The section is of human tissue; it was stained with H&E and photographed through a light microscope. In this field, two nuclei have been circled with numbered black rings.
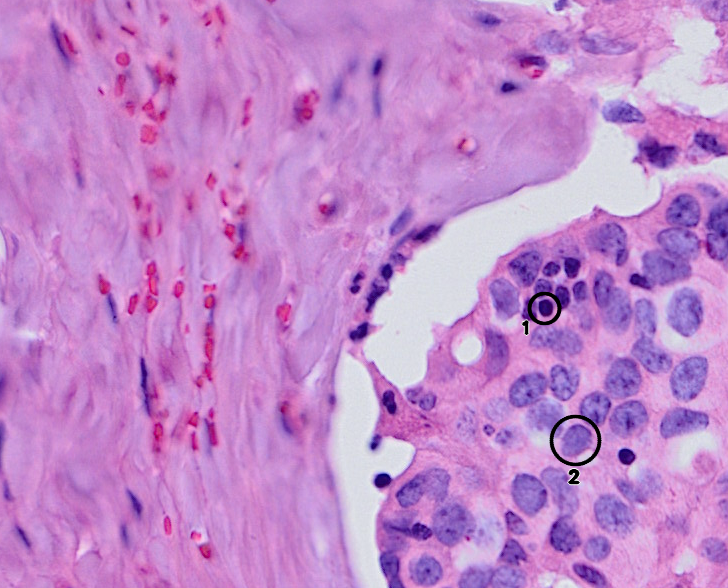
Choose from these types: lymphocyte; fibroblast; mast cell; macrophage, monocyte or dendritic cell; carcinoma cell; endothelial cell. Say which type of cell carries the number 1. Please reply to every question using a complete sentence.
The one labeled 1 is a lymphocyte, to put it simply.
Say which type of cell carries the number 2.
The correct answer for cell 2 is a carcinoma cell.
